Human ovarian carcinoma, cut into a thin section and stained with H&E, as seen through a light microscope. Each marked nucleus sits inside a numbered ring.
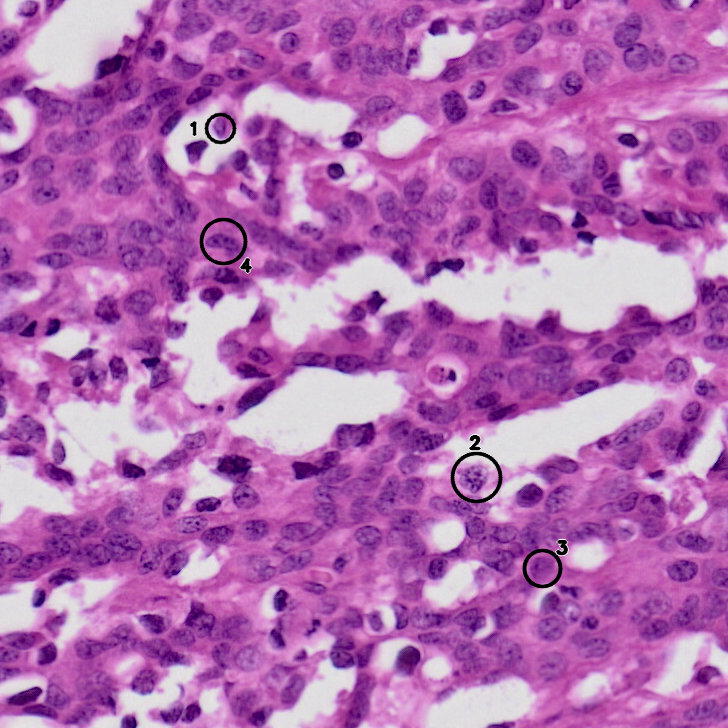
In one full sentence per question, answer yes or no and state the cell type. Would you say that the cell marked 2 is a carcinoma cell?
No, the cell denoted 2 is a macrophage or monocyte rather than a carcinoma cell.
